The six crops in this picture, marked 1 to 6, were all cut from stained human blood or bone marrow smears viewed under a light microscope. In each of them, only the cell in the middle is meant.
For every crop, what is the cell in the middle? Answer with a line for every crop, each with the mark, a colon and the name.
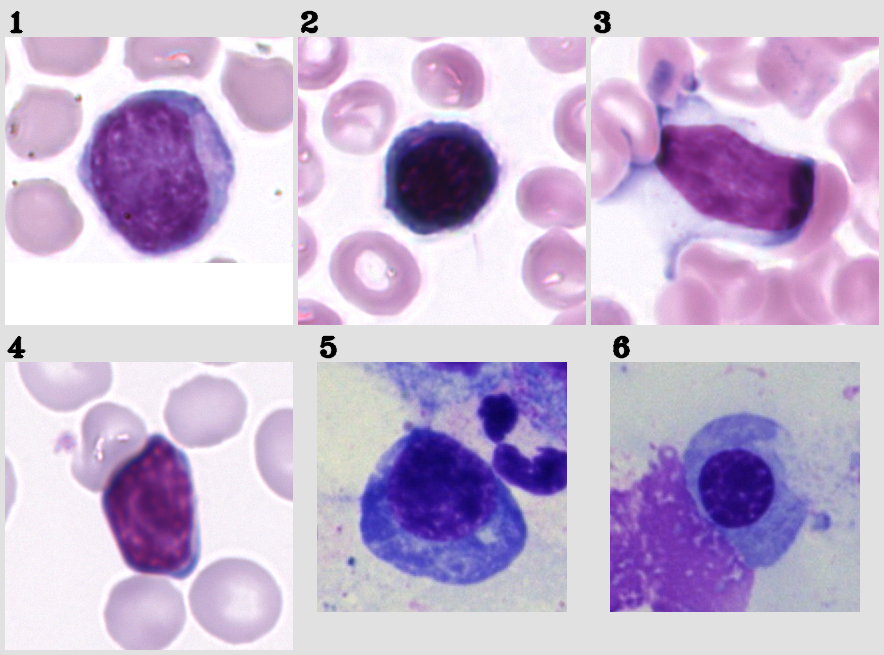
1: plasma cell
2: normoblast
3: lymphocyte
4: lymphocyte
5: plasma cell
6: normoblast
